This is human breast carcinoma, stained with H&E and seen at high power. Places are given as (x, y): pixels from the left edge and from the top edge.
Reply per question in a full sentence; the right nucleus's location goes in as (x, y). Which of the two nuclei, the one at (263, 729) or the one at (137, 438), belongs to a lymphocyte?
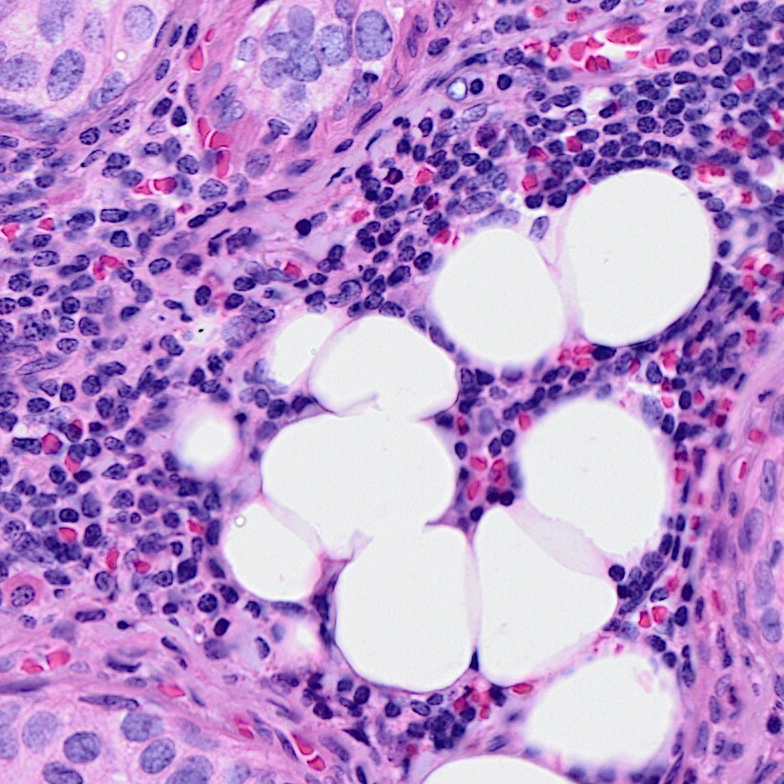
The nucleus that belongs to a lymphocyte is located at (137, 438).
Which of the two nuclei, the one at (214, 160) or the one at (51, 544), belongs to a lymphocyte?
Located at (51, 544), this nucleus is the one belonging to a lymphocyte.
